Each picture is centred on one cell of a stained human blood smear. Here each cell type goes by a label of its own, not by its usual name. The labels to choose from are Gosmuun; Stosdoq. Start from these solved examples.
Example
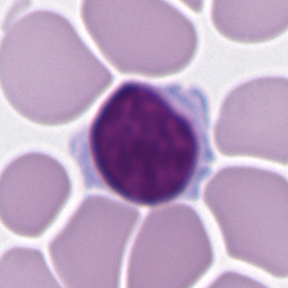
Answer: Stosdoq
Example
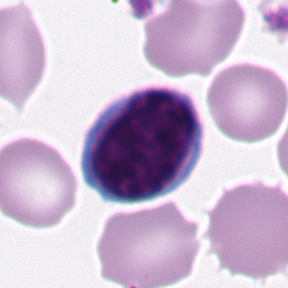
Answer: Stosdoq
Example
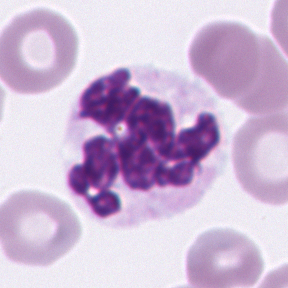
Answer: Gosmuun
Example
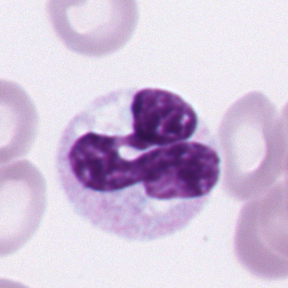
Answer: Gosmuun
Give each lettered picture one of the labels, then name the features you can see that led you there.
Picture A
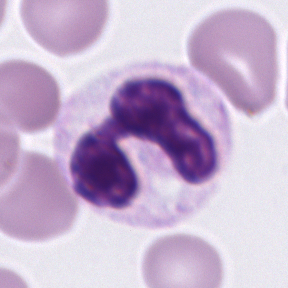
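Answer: Gosmuun. The cytoplasm is abundant and pale pinkish-lilac.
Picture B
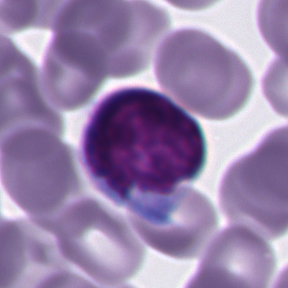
Answer: Stosdoq. The cytoplasm is scant.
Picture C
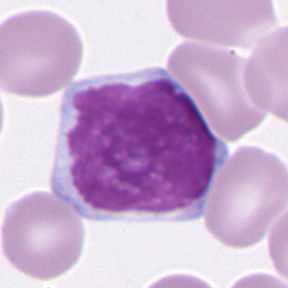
Answer: Stosdoq. The cytoplasm forms only a narrow pale blue rim around the nucleus.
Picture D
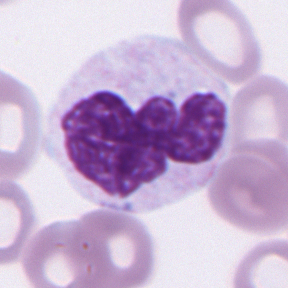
Answer: Gosmuun. The nucleus is divided into lobes, with the largest lobe on the left.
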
